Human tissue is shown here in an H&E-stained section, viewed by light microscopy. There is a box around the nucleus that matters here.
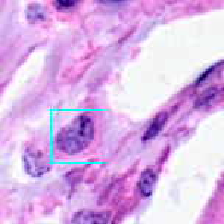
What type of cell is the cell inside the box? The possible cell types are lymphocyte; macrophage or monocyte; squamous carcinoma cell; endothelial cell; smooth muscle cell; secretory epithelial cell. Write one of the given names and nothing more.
macrophage or monocyte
